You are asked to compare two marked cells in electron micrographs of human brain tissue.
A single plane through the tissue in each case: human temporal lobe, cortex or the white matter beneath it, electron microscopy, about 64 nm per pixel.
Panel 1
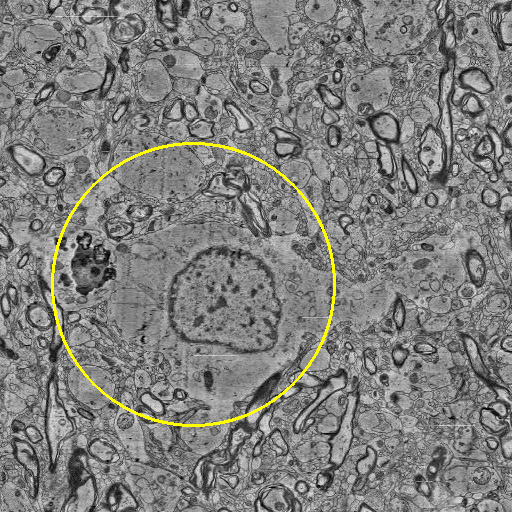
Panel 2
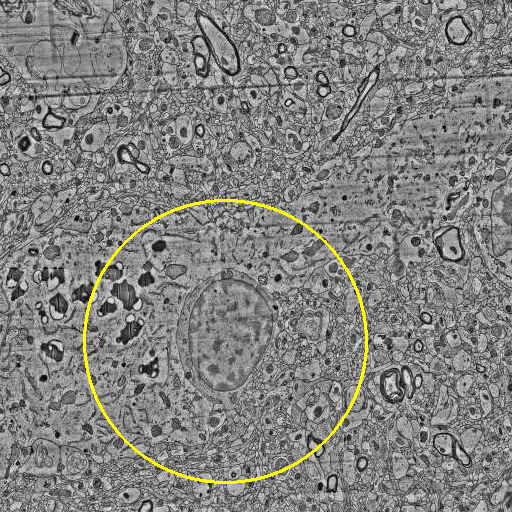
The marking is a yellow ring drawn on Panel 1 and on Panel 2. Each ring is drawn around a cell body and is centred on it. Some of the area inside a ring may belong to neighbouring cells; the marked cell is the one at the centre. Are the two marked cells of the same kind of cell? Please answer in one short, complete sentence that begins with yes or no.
No, the two marked cells are of two kinds.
